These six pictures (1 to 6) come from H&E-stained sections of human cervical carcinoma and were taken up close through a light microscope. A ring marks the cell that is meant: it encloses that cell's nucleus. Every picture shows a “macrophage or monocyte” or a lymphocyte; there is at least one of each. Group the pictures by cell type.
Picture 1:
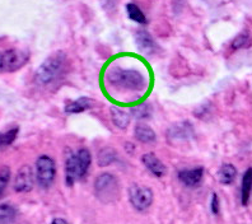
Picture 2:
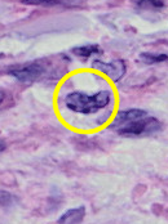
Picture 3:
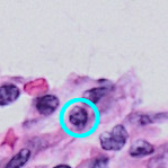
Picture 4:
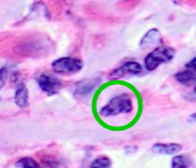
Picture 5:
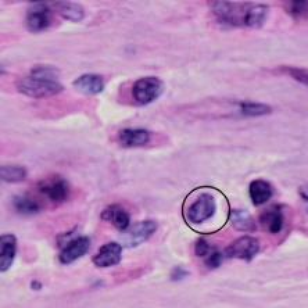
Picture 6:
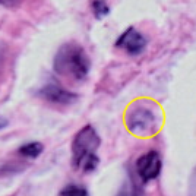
1: macrophage or monocyte
2: lymphocyte
3: lymphocyte
4: lymphocyte
5: lymphocyte
6: macrophage or monocyte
